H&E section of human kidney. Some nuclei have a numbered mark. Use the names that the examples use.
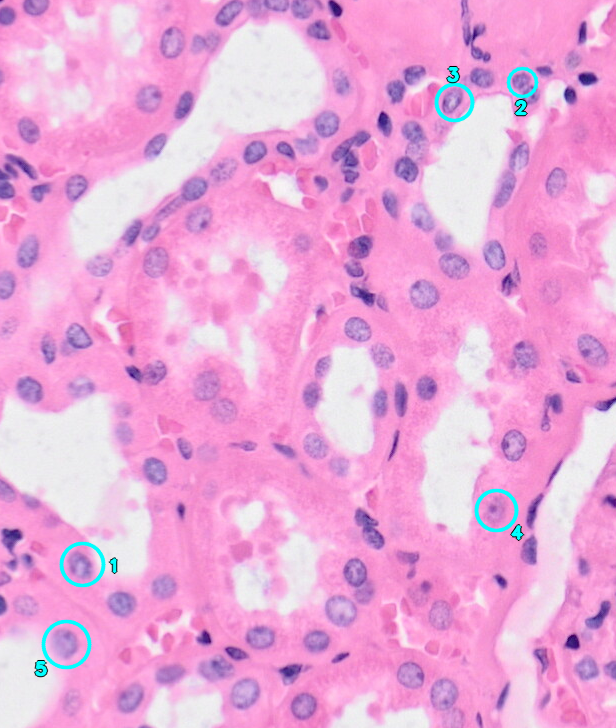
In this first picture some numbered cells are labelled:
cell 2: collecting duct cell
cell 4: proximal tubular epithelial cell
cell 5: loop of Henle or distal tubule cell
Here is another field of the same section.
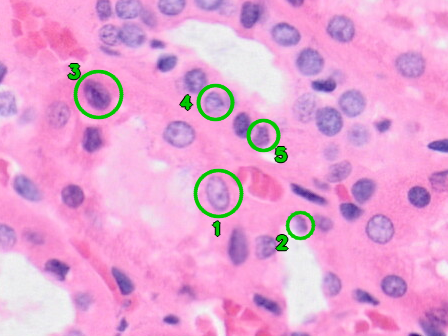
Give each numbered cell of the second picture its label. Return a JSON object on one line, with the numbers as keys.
{"1": "proximal tubular epithelial cell", "2": "loop of Henle or distal tubule cell", "3": "proximal tubular epithelial cell", "4": "collecting duct cell", "5": "collecting duct cell"}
